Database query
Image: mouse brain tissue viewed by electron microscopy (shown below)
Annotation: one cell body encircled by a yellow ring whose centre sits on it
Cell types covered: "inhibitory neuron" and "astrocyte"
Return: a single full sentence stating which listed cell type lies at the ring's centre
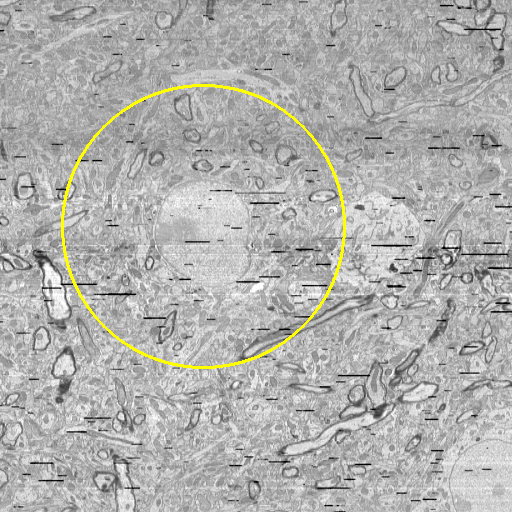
In the image, the cell lying at the ring's centre is an astrocyte.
